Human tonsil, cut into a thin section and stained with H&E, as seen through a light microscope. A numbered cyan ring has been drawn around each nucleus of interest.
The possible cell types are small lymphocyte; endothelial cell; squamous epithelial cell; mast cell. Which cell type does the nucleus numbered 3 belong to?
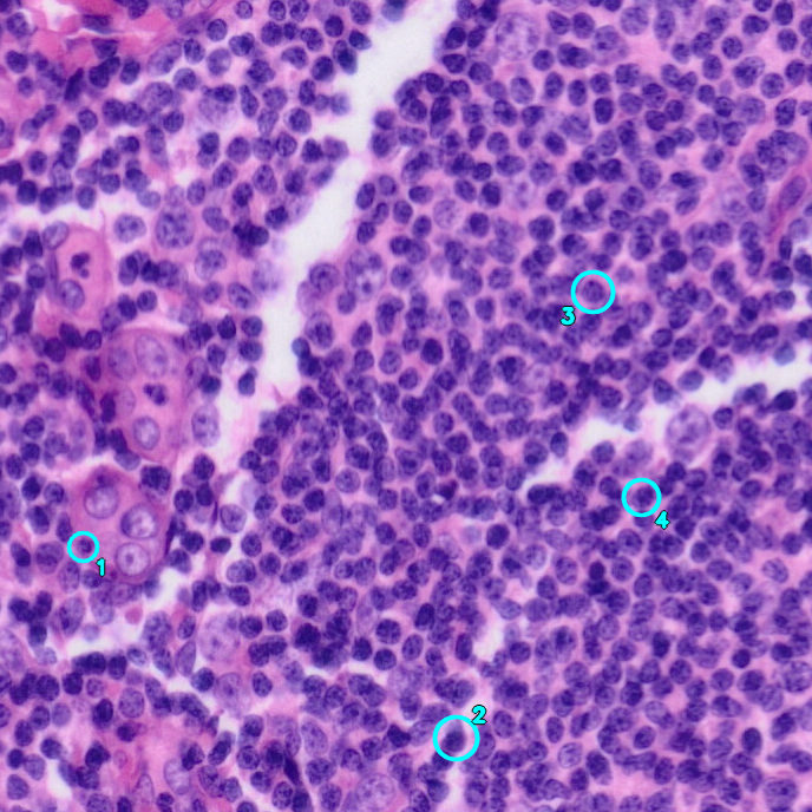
small lymphocyte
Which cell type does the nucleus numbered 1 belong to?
endothelial cell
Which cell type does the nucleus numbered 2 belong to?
small lymphocyte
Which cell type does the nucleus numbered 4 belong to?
small lymphocyte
